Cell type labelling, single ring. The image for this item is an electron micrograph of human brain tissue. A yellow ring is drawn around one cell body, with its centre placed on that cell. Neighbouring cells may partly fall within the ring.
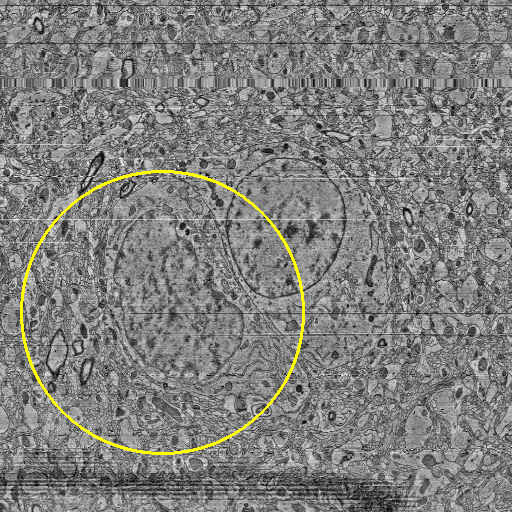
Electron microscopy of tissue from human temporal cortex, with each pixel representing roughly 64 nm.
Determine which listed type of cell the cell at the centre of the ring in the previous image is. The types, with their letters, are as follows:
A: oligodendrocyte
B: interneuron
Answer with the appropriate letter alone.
B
